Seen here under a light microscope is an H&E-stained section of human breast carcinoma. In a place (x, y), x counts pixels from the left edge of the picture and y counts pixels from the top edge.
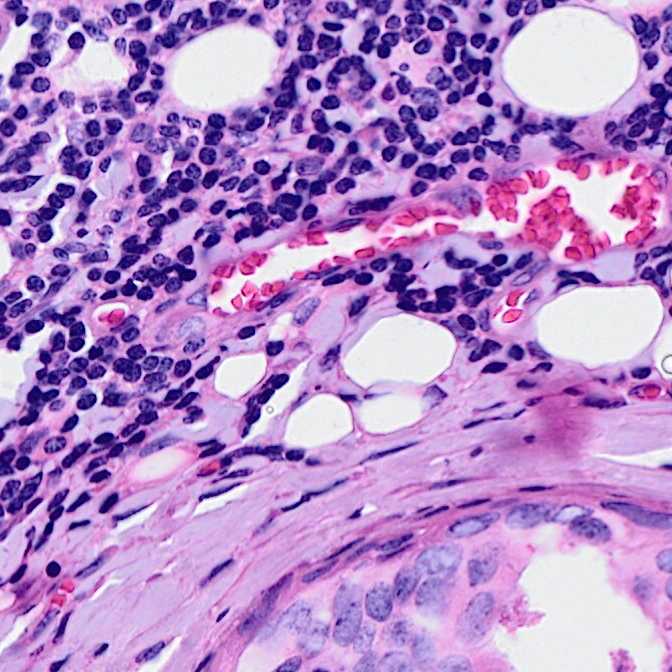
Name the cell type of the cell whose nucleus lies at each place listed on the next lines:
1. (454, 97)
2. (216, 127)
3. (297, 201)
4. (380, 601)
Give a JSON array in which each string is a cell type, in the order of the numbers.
["lymphocyte", "lymphocyte", "lymphocyte", "carcinoma cell"]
